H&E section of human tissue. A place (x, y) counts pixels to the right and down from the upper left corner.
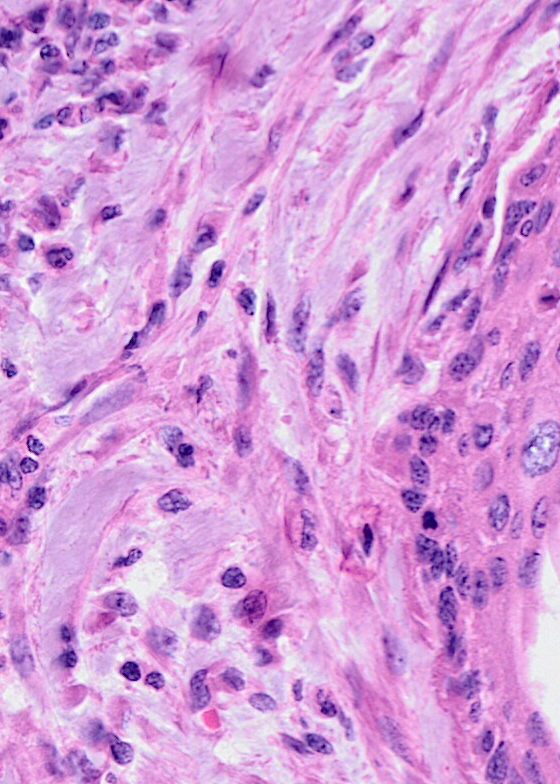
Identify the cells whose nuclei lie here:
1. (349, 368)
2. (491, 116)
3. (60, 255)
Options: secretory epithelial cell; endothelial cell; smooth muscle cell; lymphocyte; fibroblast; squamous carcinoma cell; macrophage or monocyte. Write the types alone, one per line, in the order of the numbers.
fibroblast
fibroblast
macrophage or monocyte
